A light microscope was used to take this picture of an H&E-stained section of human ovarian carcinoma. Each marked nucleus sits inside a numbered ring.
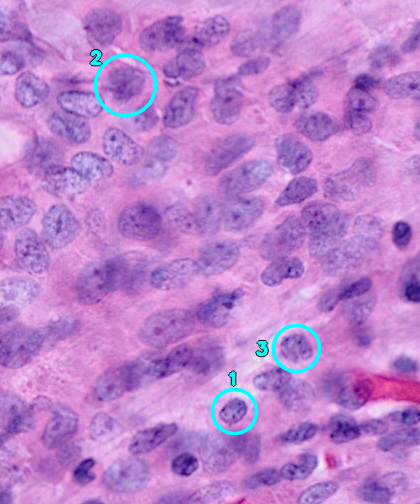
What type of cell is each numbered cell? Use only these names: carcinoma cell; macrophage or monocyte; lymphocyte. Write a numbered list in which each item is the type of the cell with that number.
1. macrophage or monocyte
2. carcinoma cell
3. macrophage or monocyte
